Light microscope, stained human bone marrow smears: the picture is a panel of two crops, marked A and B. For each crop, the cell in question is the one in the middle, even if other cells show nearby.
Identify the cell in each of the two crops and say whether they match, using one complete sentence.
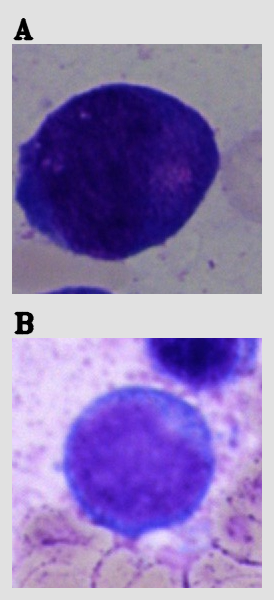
Yes, the central cells of both crops are blasts.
